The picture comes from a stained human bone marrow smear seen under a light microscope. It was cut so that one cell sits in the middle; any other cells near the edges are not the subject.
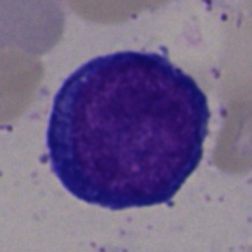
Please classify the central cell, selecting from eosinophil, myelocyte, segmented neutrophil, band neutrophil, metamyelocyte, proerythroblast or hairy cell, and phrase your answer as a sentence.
What the crop centres on is a proerythroblast.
